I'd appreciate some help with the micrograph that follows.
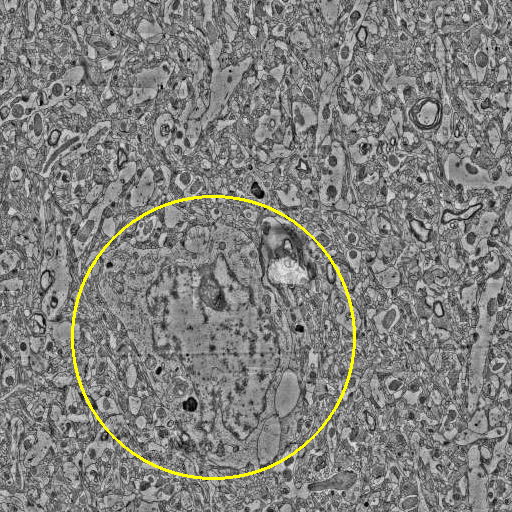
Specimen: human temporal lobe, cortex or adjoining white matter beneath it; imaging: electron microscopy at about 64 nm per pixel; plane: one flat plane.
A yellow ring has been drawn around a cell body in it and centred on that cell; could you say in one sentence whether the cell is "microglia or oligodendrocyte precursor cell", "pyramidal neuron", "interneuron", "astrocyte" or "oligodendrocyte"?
It is an interneuron at the centre of the ring.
